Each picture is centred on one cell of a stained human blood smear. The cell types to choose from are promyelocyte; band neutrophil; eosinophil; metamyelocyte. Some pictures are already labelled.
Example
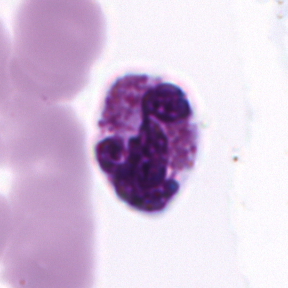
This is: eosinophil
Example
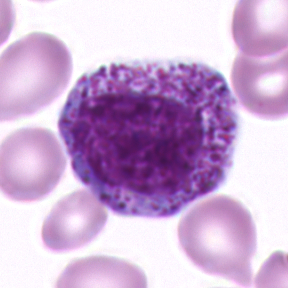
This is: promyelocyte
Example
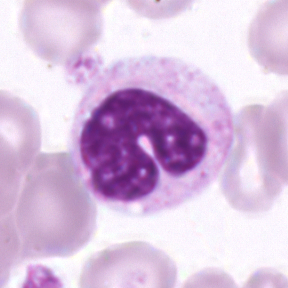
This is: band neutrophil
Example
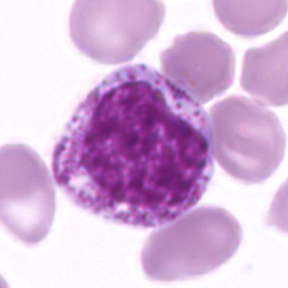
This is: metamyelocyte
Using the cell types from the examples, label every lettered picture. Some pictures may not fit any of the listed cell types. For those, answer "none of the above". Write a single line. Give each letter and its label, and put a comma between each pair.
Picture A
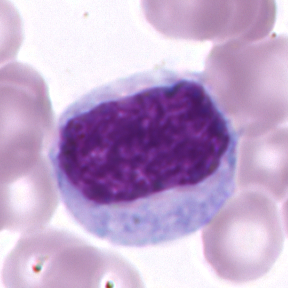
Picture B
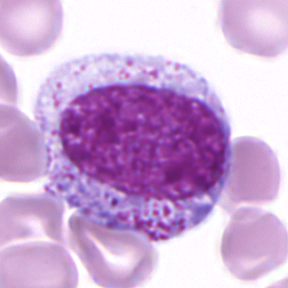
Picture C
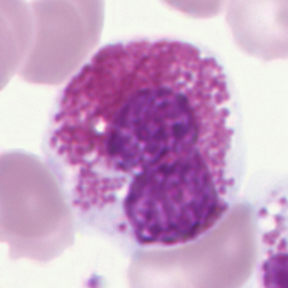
A promyelocyte, B promyelocyte, C eosinophil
